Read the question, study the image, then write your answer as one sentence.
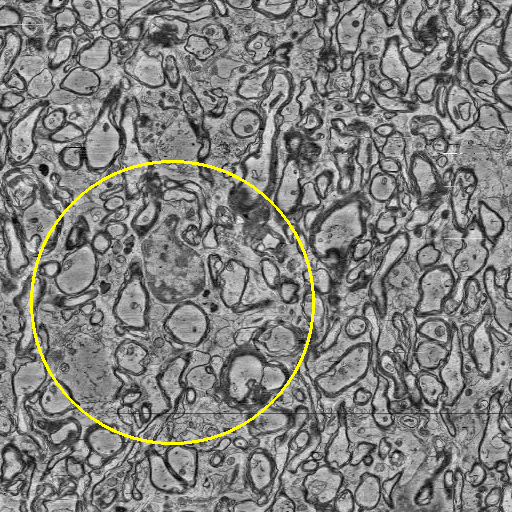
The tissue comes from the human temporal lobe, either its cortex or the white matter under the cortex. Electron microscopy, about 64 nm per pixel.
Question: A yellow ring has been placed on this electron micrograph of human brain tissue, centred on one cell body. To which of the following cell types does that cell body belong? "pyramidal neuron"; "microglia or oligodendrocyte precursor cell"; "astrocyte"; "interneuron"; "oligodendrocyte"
That cell body belongs to a microglial cell or oligodendrocyte precursor cell.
